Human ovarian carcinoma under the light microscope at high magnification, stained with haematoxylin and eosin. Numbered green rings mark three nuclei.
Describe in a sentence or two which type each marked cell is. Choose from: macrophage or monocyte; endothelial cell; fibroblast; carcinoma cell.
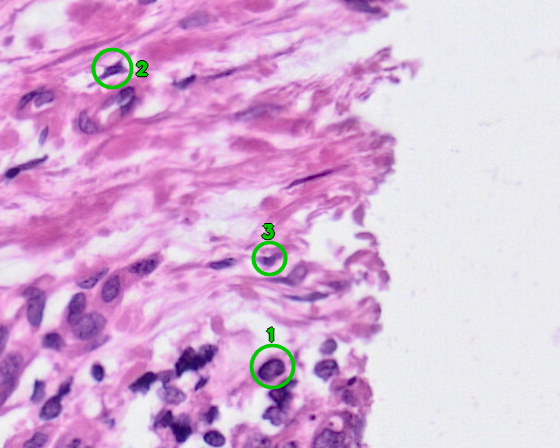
Cell 1 is a macrophage or monocyte, cell 2 is a fibroblast and cell 3 is a fibroblast.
